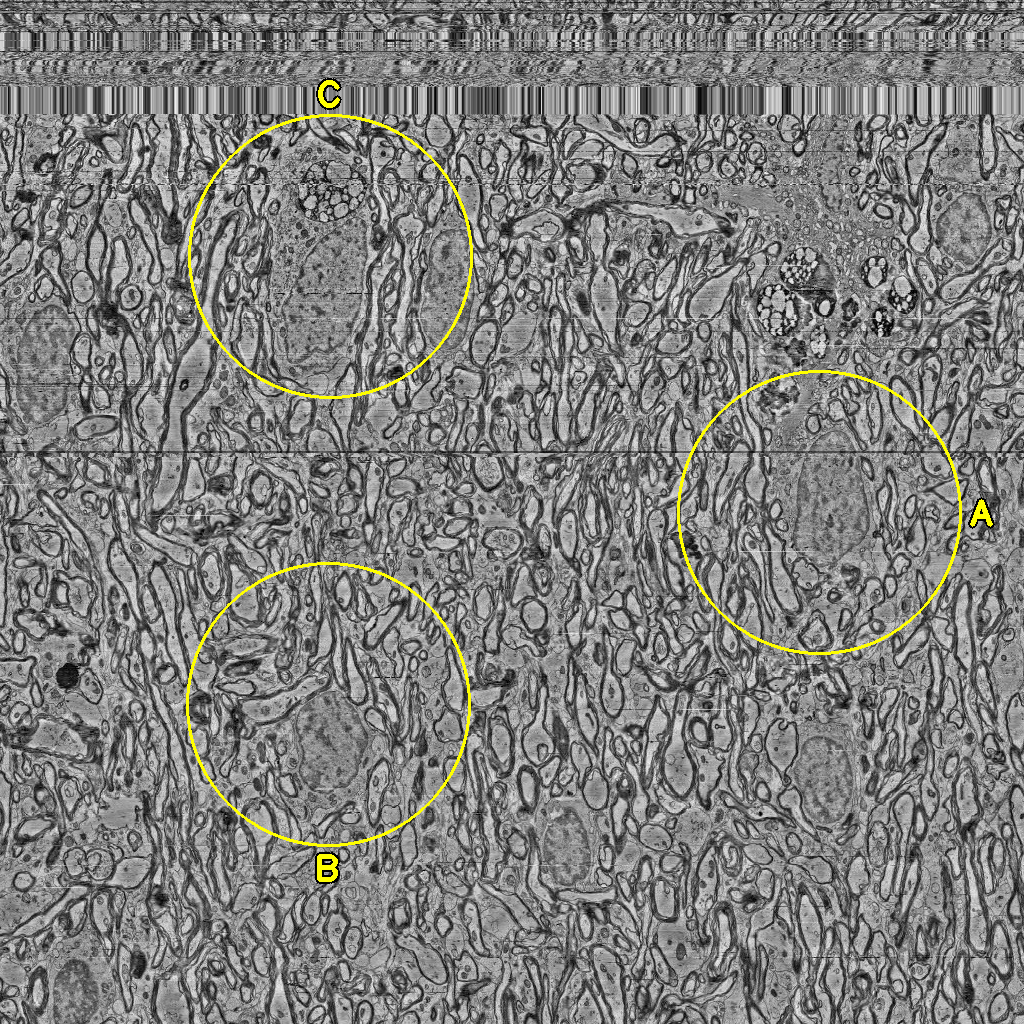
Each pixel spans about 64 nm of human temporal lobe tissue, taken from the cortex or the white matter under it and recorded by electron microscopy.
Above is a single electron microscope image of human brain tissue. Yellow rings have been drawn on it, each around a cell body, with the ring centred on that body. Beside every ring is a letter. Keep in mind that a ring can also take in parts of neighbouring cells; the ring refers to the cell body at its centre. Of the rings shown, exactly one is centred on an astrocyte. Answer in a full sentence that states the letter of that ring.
The cell at the centre of ring C is the one asked for.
